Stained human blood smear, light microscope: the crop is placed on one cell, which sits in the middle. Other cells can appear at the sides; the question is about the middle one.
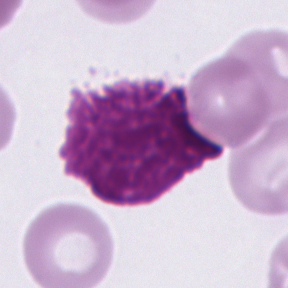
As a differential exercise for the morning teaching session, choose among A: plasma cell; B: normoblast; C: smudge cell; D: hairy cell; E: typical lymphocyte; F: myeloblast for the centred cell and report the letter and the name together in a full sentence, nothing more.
Given that the cell in the middle is a smudge cell, option C is correct.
